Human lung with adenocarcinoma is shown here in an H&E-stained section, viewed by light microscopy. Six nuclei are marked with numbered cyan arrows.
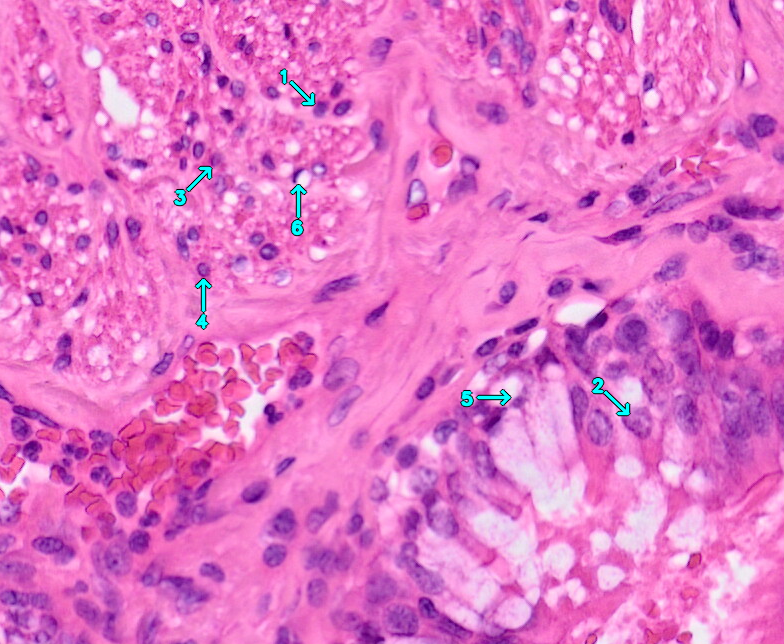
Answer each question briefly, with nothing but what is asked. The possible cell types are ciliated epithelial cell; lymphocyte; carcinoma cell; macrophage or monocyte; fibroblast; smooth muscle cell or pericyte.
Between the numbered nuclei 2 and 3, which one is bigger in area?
2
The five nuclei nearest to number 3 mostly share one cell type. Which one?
smooth muscle cell or pericyte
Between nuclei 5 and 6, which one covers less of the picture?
6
